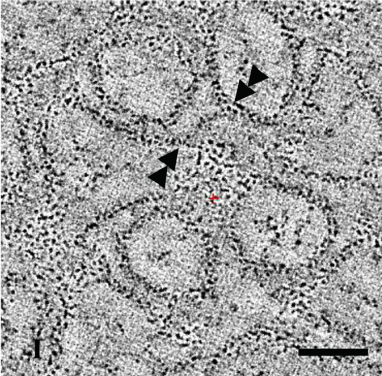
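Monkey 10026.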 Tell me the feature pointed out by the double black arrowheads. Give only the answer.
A: Strands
